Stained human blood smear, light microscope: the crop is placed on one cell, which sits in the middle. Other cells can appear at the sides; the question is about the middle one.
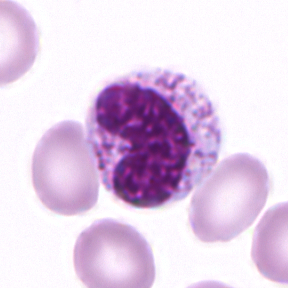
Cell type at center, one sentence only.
Answering briefly, the cell in the middle is a band neutrophil.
